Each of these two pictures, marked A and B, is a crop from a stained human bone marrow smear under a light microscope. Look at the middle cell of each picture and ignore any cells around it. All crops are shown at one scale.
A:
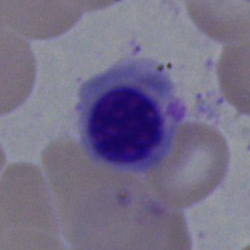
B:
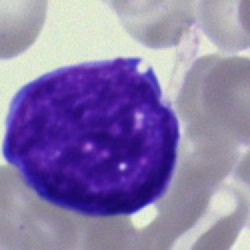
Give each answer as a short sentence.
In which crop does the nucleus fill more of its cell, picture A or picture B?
The nucleus fills more of the cell in picture B than in picture A.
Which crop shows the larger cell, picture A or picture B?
The cell in picture B is larger, with about 2.5 times the area of the one in picture A.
